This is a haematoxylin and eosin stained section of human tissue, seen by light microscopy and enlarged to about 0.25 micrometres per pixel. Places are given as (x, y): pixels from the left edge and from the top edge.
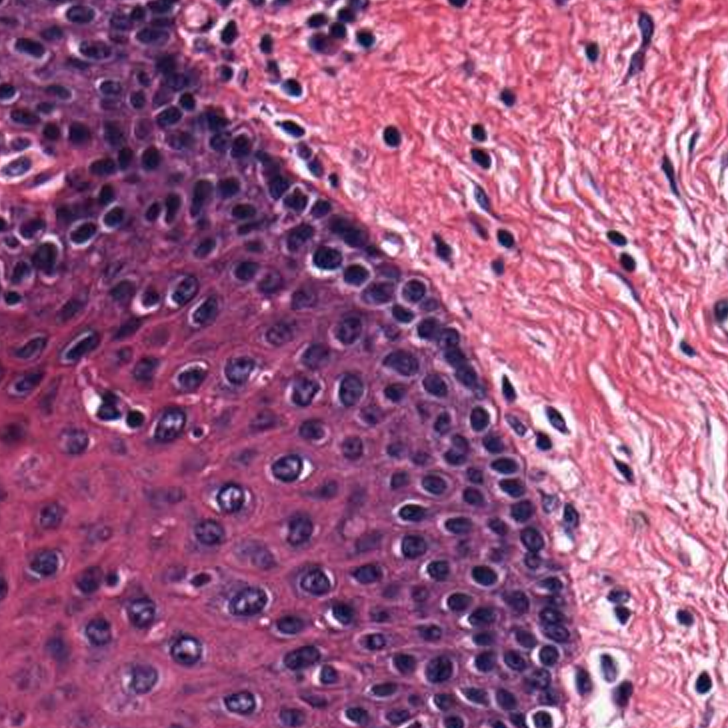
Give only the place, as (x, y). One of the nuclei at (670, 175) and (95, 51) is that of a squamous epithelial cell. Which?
(95, 51)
